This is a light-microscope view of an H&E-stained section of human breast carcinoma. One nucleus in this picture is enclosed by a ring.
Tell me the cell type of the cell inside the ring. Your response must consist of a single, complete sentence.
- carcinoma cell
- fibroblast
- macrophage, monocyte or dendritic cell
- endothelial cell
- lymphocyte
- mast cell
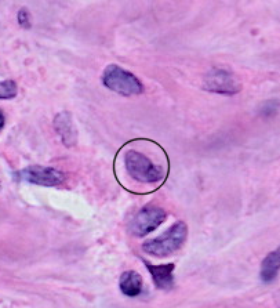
Considered by cell type, the cell inside the ring is a macrophage, monocyte or dendritic cell.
